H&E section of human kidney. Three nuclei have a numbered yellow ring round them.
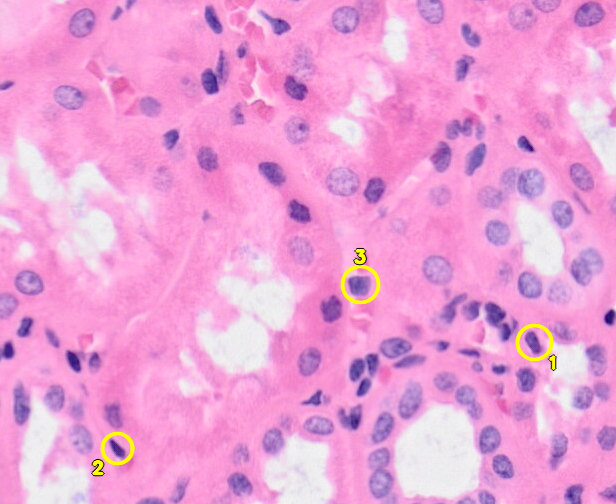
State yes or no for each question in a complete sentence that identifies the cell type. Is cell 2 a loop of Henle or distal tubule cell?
No, cell 2 should be classed as an endothelial cell, not as a loop of Henle or distal tubule cell.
